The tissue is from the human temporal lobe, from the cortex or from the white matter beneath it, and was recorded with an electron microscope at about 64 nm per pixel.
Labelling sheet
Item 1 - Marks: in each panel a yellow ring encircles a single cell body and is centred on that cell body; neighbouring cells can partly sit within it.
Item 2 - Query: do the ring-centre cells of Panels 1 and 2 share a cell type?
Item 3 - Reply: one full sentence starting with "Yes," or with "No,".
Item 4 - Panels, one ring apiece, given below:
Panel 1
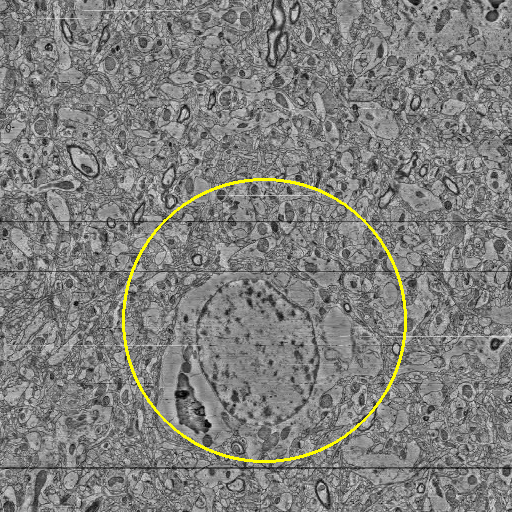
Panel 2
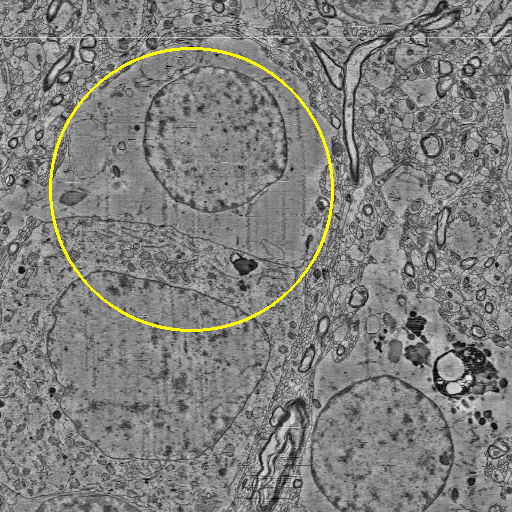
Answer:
Yes, Panel 1 and Panel 2 show one cell type at the centres of their rings.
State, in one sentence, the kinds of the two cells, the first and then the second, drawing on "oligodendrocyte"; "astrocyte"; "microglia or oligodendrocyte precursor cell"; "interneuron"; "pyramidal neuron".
Both pictures show an astrocyte at the centre of the ring.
